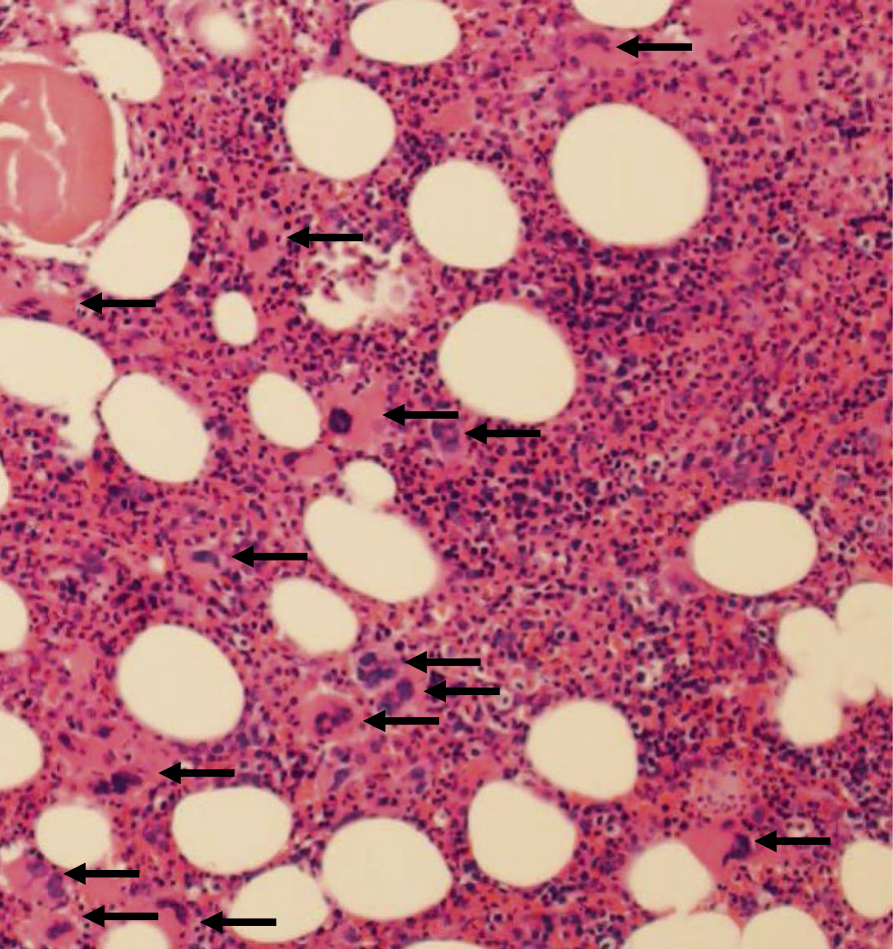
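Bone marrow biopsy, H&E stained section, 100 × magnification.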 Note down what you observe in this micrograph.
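The background is a mixed population of small cells with dark purple nuclei set among pink-red material. Scattered through it are numerous very large cells with abundant pink cytoplasm and large, dark, lobulated or irregular nuclei, which are megakaryocytes. These large cells vary in size and nuclear shape, and some lie close together in small groups. A rounded, homogeneous pink structure with cracks is at the upper left corner.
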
